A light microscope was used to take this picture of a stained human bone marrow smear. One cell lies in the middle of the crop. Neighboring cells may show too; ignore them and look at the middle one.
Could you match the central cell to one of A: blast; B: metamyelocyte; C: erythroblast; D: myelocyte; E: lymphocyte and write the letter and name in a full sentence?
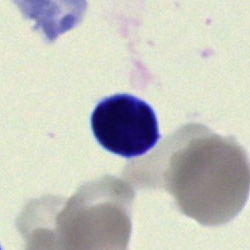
Option E is the correct option, with the middle cell being a lymphocyte.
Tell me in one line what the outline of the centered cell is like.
Worth noting that the cell border is smooth and lacks projections.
